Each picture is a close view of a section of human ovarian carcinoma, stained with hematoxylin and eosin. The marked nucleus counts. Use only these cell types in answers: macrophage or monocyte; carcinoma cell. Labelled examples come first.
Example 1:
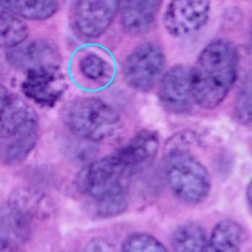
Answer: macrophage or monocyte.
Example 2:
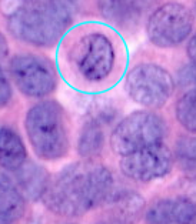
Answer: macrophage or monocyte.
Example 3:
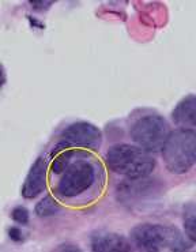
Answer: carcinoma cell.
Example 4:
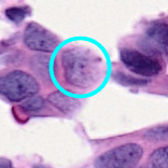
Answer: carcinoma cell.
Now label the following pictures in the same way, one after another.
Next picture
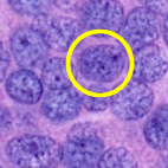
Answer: carcinoma cell.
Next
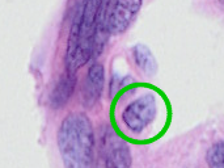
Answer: macrophage or monocyte.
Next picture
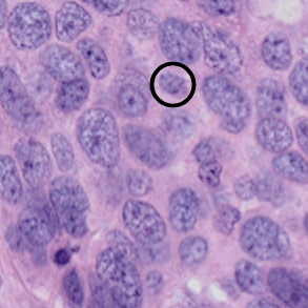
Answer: macrophage or monocyte.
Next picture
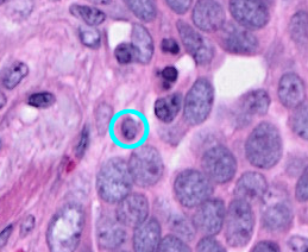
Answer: macrophage or monocyte.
